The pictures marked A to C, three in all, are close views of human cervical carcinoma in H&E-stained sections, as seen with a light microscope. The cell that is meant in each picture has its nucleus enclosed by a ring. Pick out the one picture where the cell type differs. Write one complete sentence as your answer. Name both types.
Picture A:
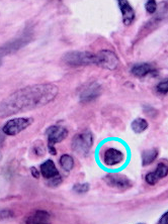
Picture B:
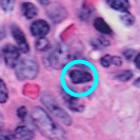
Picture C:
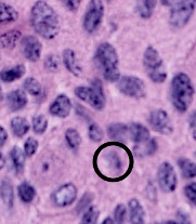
Picture C differs, because its cell is a squamous carcinoma cell and the rest are lymphocytes.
